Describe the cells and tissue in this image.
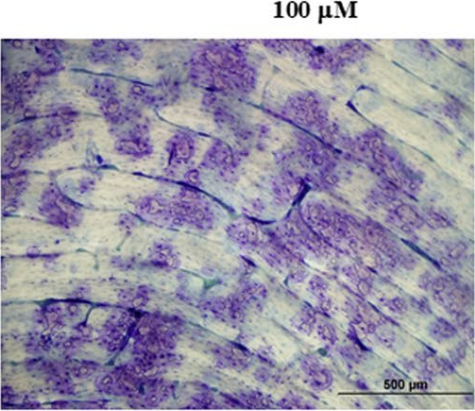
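This is a slice of bone seen from above, its pale bluish surface crossed by long dark lines. Over it lie many dark purple patches made up of small rounded pits, often overlapping into large irregular clusters, which mark the resorption areas.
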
